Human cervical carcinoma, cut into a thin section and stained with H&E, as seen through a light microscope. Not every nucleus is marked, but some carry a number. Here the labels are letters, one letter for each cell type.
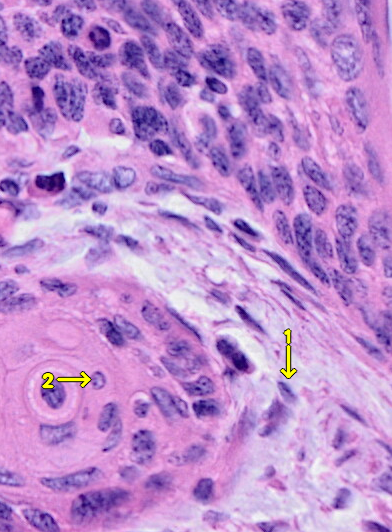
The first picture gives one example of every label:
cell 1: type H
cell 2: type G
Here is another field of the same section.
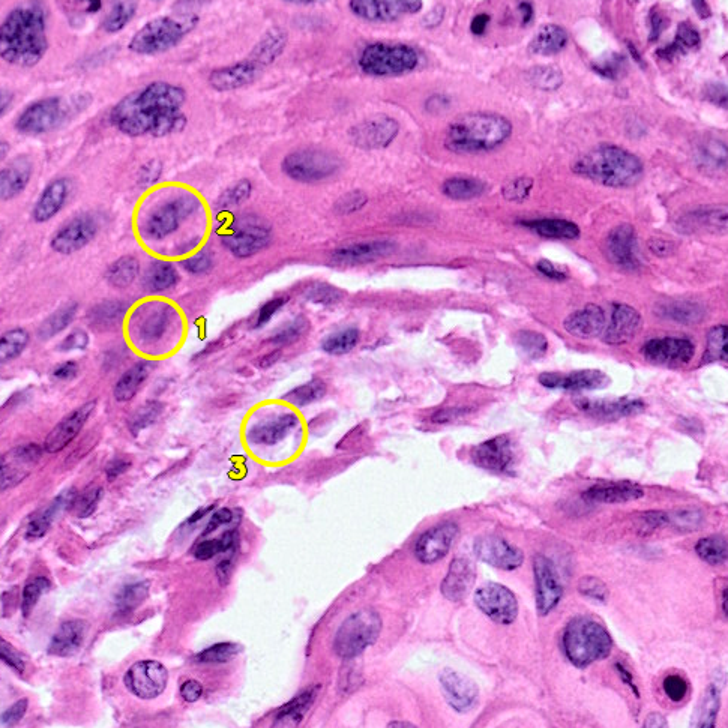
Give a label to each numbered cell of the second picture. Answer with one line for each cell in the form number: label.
1: type G
2: type G
3: type H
